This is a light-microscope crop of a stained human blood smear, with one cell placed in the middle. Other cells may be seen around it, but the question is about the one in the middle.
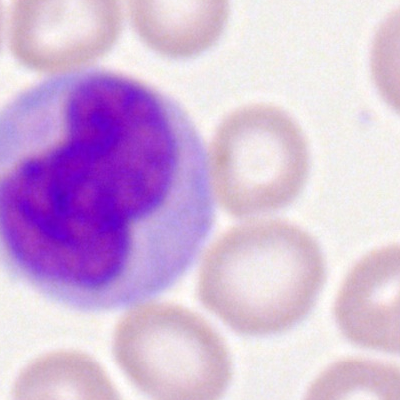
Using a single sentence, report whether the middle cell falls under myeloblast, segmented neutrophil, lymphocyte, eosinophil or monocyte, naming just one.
This crop is built around a monocyte at its centre.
